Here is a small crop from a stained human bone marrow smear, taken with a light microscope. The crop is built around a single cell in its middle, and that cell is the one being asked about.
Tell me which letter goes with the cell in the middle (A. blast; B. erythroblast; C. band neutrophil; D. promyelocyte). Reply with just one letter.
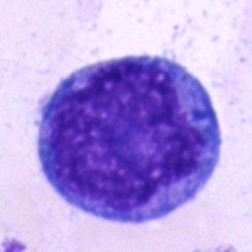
A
